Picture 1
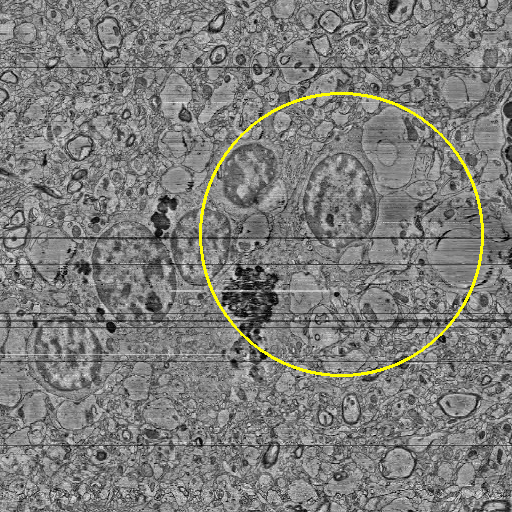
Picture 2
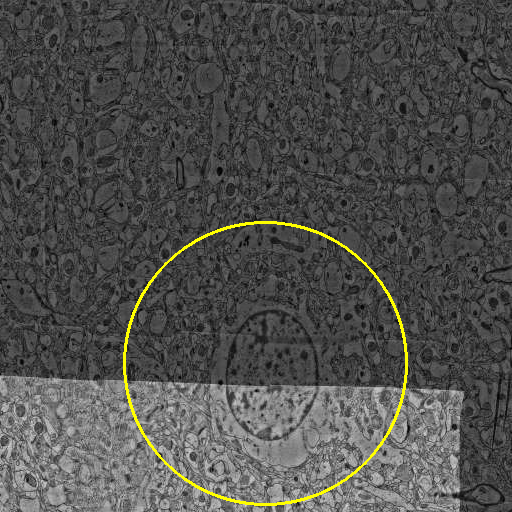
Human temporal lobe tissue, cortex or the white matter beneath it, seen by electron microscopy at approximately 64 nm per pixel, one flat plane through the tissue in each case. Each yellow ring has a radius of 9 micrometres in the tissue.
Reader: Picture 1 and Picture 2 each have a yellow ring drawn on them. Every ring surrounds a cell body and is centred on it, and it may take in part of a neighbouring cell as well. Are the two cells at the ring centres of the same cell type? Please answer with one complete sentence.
No, the cells are of two cell types.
